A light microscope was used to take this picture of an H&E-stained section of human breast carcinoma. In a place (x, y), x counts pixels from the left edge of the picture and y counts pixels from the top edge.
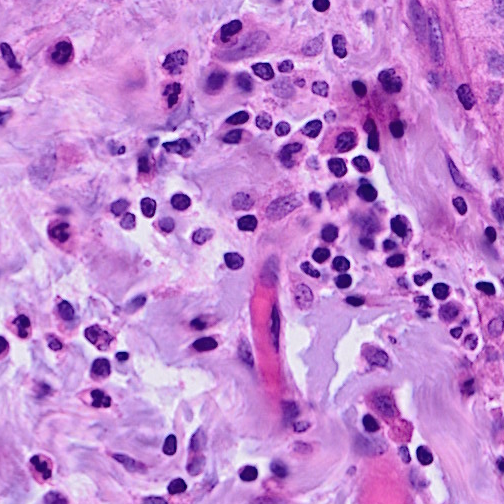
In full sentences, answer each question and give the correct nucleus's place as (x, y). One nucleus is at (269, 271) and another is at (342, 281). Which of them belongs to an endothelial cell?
Of the two nuclei, the nucleus belonging to an endothelial cell is located at (269, 271).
